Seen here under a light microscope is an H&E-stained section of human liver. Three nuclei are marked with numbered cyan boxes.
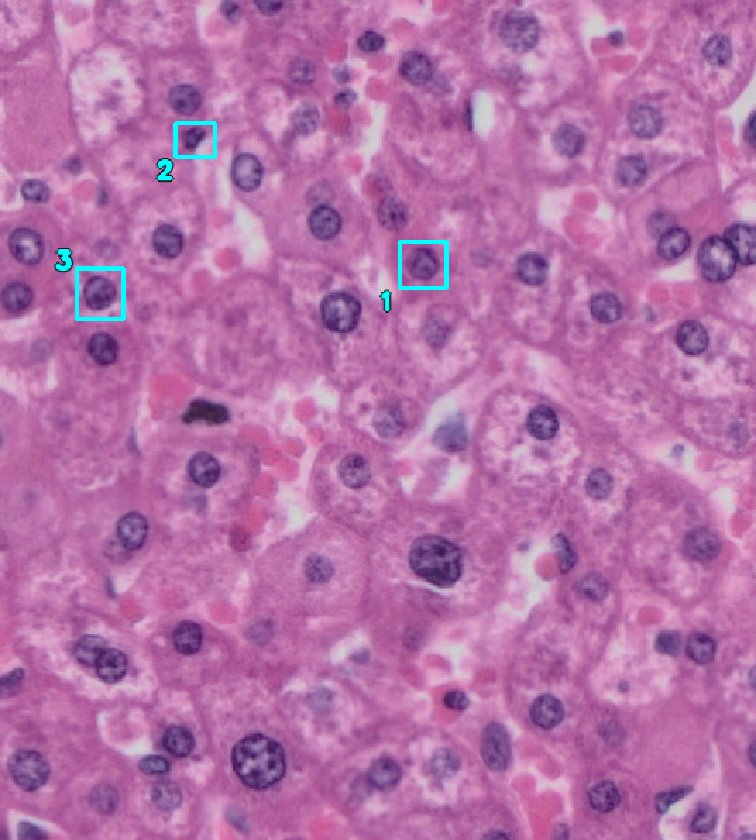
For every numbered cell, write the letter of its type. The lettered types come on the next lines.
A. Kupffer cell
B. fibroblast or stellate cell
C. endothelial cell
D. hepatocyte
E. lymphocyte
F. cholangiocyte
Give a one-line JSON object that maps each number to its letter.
{"1": "D", "2": "B", "3": "D"}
